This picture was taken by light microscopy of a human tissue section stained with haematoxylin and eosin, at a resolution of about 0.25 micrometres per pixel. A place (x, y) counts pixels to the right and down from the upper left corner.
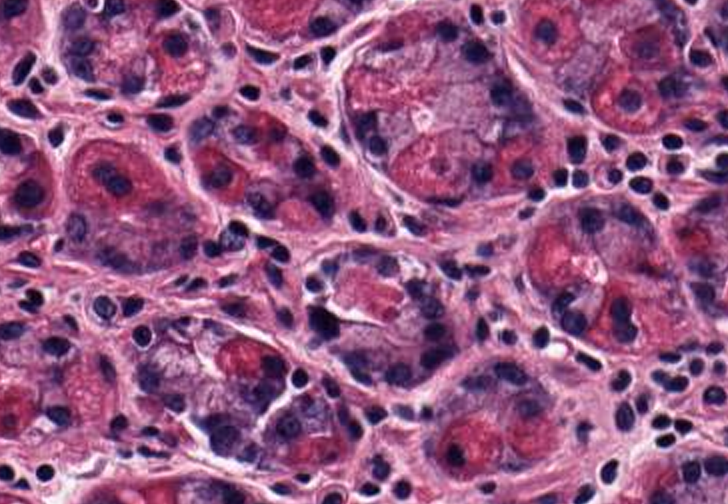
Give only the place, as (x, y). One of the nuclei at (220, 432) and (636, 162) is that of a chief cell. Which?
(220, 432)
